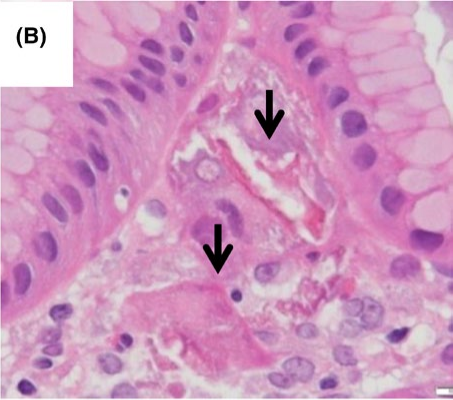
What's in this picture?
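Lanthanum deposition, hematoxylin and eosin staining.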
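Mucosa with tall columnar, mucin-filled epithelium lining glands, and lamina propria between them. Within the lamina propria lie pink, glassy deposits and large cells with pale pink cytoplasm and round nuclei, amid scattered small dark nuclei.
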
